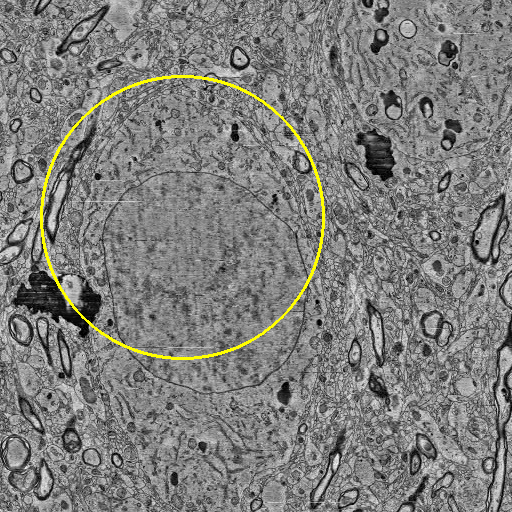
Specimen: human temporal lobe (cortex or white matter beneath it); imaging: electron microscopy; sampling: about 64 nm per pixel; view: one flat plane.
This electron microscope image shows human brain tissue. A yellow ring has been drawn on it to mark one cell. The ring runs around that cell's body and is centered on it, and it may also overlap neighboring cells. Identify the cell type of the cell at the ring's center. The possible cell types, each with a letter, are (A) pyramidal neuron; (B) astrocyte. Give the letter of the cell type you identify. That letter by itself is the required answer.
A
